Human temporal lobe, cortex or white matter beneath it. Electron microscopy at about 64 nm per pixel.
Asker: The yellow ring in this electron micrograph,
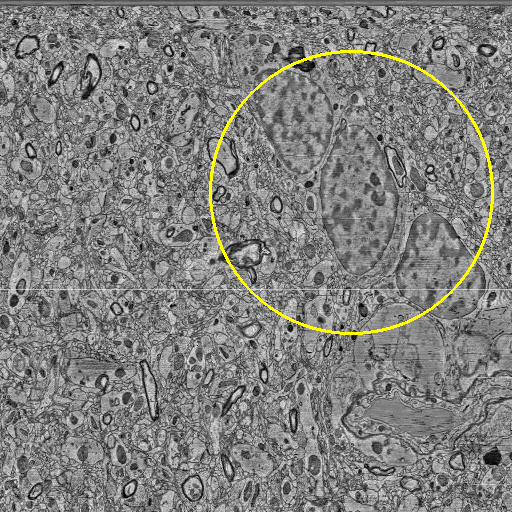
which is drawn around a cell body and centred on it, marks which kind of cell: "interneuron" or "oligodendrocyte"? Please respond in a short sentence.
The marked cell is an oligodendrocyte.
